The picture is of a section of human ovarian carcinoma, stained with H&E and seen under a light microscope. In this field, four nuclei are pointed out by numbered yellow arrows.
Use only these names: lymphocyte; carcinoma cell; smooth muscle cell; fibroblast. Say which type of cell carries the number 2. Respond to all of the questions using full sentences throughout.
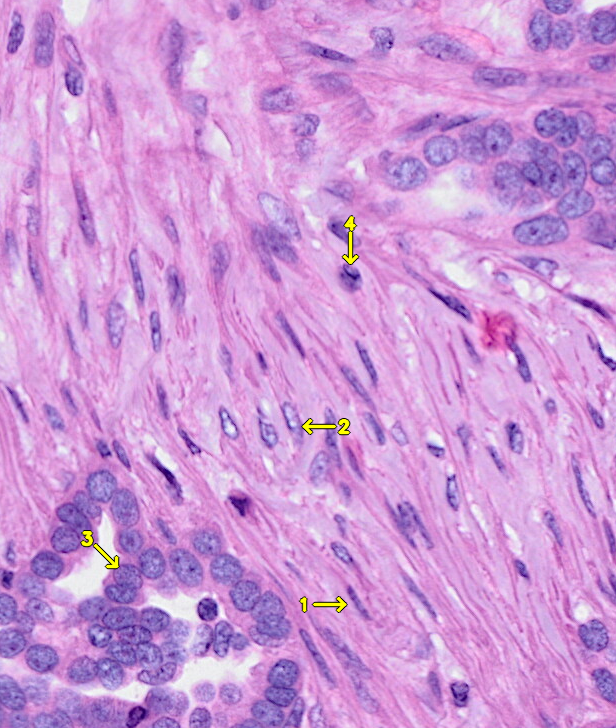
The one numbered 2 among the marked cells is a fibroblast.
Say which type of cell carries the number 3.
Cell 3 should be recorded as a carcinoma cell.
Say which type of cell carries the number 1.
The cell whose nucleus carries the number 1 is a fibroblast.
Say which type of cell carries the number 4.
The cell identified by the number 4 is a lymphocyte.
